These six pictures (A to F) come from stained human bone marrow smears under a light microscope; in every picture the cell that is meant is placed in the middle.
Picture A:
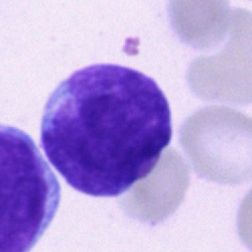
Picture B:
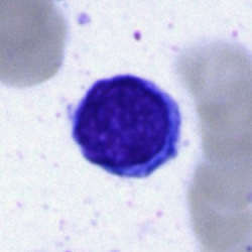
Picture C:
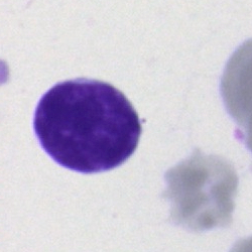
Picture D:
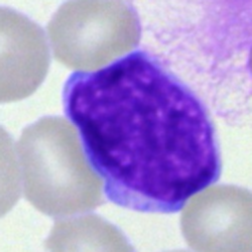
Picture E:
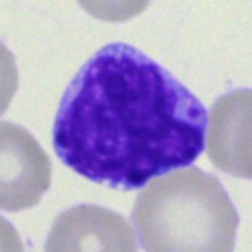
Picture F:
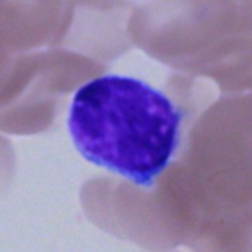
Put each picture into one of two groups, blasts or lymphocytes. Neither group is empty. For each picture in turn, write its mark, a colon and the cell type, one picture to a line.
A: blast
B: lymphocyte
C: lymphocyte
D: blast
E: blast
F: lymphocyte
